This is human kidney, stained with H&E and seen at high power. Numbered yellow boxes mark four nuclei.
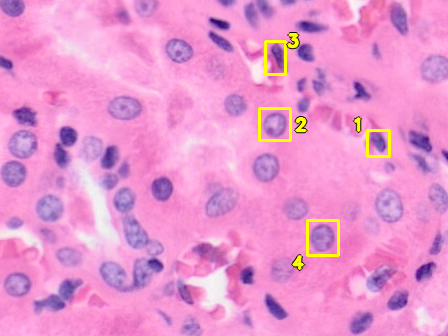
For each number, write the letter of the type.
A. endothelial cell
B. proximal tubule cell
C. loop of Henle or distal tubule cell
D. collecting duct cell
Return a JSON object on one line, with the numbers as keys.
{"1": "A", "2": "B", "3": "A", "4": "B"}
